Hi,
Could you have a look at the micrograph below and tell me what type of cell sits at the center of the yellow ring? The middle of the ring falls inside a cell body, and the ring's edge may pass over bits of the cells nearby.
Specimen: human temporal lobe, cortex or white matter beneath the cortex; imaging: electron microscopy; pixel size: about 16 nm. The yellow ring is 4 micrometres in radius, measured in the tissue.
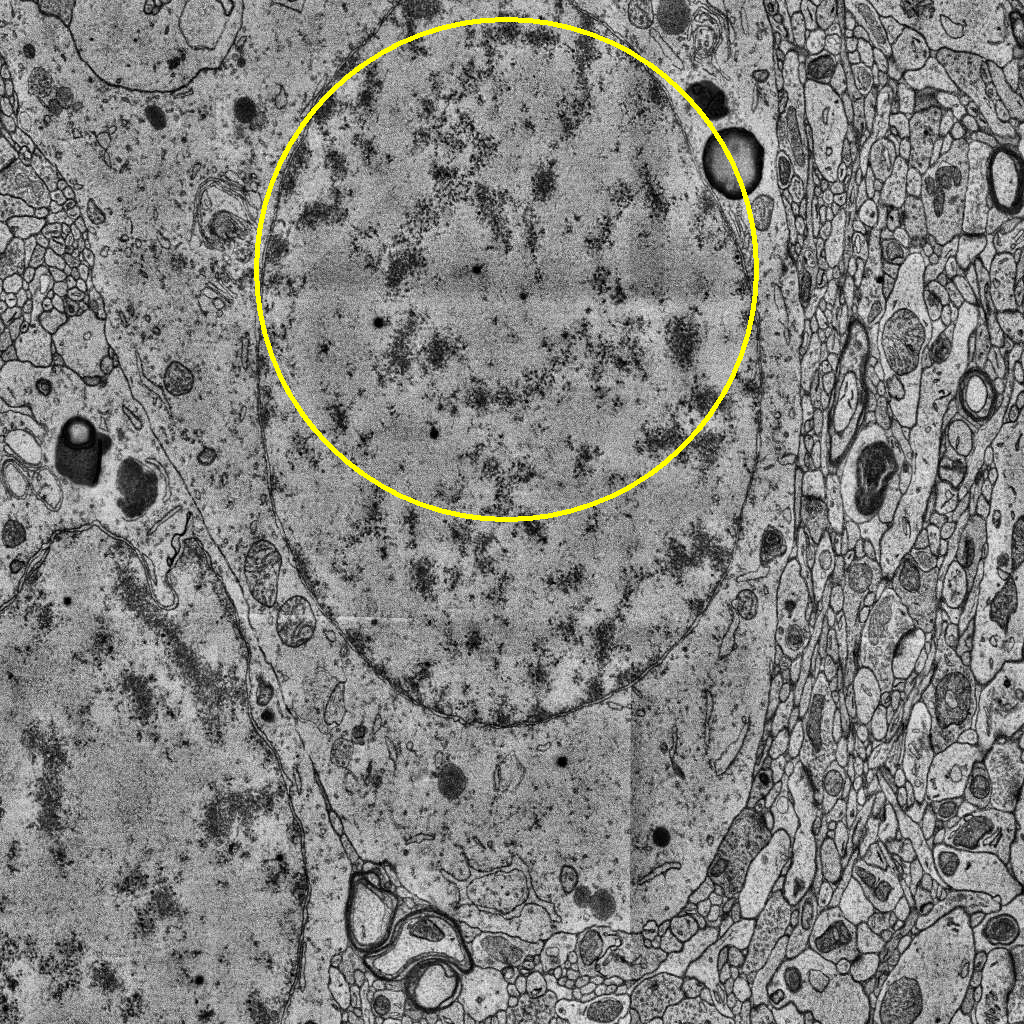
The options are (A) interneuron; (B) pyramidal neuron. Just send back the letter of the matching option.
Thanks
B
